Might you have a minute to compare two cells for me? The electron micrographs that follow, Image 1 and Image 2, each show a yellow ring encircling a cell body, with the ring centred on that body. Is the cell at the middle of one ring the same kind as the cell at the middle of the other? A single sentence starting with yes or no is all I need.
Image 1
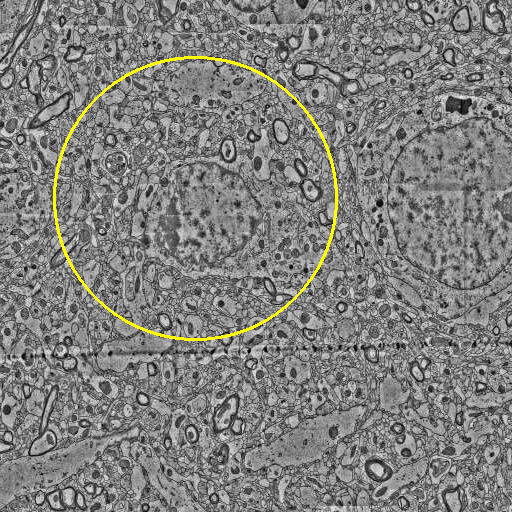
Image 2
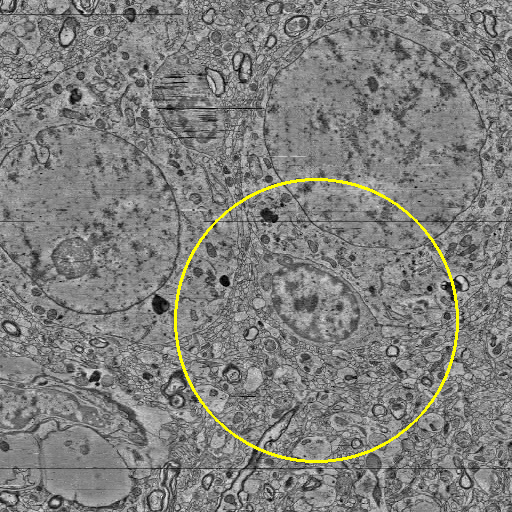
No, the cells in the middle of the two rings are of two separate kinds.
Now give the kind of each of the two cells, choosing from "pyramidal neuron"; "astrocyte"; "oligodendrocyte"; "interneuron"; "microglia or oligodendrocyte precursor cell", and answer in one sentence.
The cell in the first picture is an interneuron, and the cell in the second is an oligodendrocyte.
